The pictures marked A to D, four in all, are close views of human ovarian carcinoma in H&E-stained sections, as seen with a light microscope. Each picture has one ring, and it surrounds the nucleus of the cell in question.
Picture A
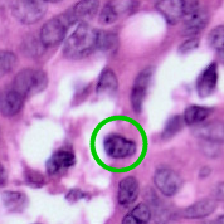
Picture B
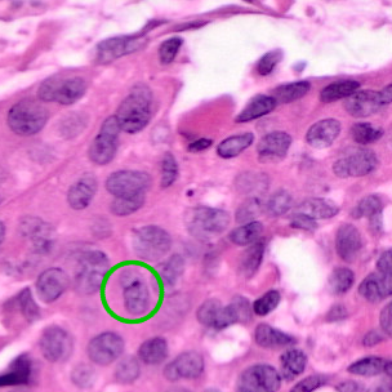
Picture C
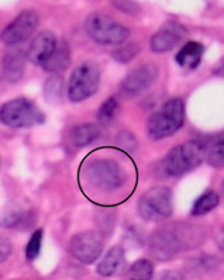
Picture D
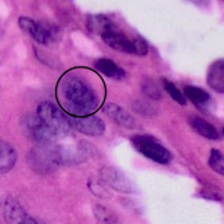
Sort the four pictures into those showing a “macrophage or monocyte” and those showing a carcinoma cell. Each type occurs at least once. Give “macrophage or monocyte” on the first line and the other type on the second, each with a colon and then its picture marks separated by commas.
macrophage or monocyte: A
carcinoma cell: B, C, D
